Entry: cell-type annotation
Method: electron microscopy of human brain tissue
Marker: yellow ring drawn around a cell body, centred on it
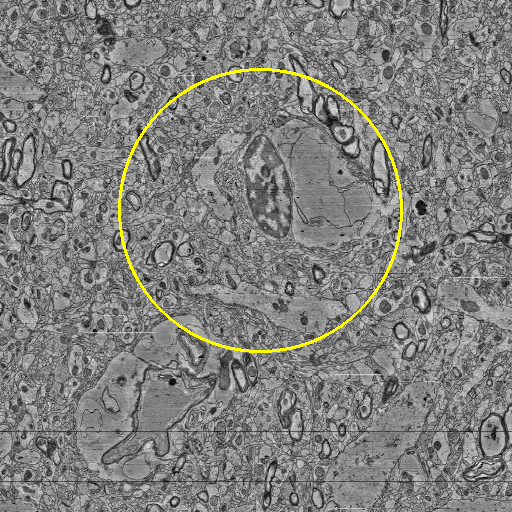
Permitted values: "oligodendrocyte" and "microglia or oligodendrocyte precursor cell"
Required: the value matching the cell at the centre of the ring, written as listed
microglia or oligodendrocyte precursor cell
